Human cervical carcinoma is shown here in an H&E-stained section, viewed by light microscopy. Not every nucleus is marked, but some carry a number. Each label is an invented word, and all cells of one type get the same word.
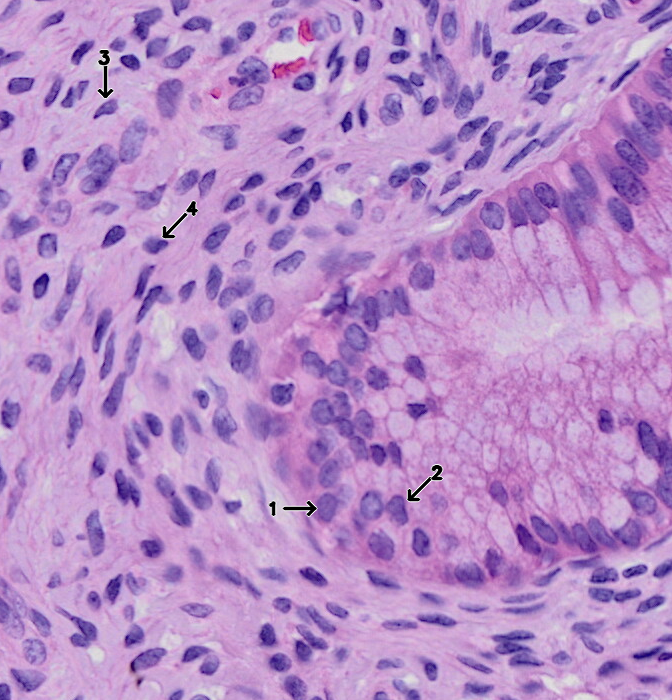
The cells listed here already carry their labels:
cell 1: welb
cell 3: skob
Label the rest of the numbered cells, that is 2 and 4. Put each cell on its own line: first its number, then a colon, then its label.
2: welb
4: skob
